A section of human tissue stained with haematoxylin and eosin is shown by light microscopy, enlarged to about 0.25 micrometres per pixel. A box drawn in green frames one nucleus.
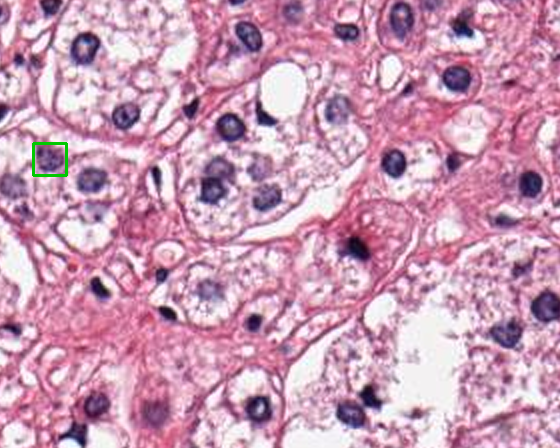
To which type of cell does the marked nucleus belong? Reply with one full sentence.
The nucleus singled out by the mark belongs to an adrenal cortical cell.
